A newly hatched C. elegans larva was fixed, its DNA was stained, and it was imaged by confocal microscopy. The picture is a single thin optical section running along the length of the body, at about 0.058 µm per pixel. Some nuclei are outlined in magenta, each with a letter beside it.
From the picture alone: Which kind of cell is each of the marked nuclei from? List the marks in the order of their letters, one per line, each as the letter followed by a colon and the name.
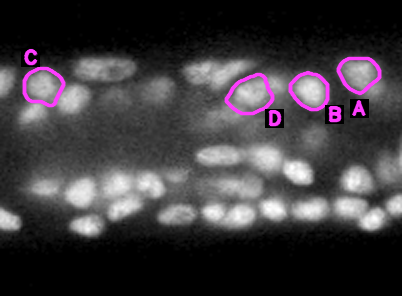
A: pharyngeal muscle cell
B: pharyngeal muscle cell
C: neuron
D: pharyngeal muscle cell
